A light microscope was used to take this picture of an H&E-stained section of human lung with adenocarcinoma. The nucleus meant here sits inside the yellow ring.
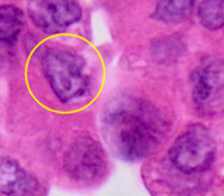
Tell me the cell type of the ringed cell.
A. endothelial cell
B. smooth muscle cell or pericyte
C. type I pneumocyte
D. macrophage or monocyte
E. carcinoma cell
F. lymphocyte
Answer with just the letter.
E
